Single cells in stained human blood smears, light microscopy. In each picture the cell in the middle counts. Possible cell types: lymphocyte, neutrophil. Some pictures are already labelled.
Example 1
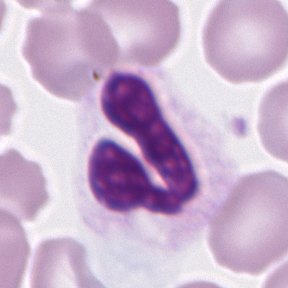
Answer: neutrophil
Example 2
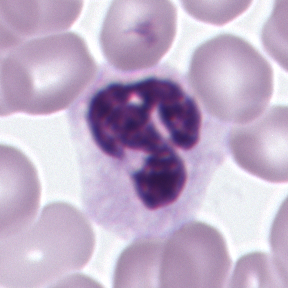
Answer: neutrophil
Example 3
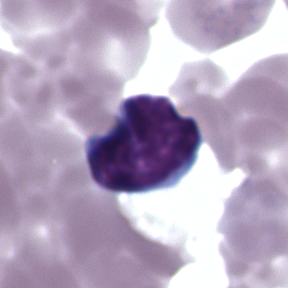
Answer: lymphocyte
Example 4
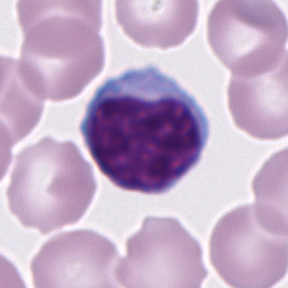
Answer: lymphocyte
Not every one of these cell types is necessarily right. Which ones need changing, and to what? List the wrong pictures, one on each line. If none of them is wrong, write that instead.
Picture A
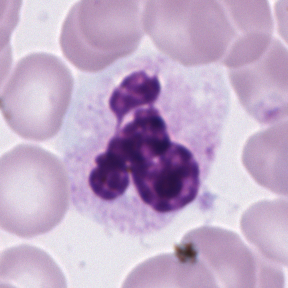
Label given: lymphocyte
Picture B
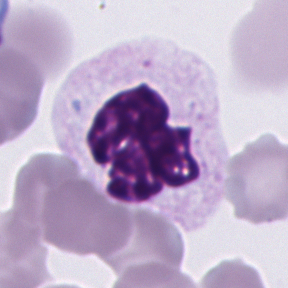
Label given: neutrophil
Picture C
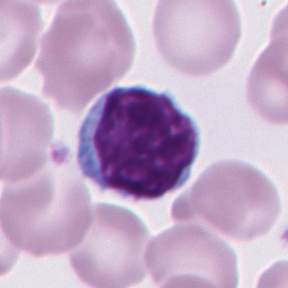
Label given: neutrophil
A should be neutrophil, not lymphocyte
C should be lymphocyte, not neutrophil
